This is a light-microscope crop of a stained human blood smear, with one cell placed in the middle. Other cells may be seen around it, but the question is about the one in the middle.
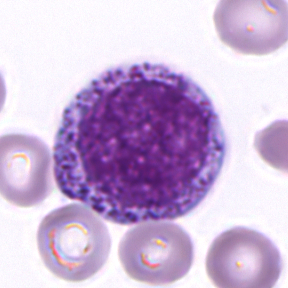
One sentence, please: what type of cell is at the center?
In the central position of this crop, the cell is a myelocyte.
